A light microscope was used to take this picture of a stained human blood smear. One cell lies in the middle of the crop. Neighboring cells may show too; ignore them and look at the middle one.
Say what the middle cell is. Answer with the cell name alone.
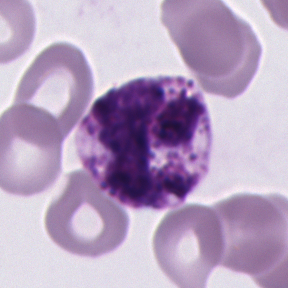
basophil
